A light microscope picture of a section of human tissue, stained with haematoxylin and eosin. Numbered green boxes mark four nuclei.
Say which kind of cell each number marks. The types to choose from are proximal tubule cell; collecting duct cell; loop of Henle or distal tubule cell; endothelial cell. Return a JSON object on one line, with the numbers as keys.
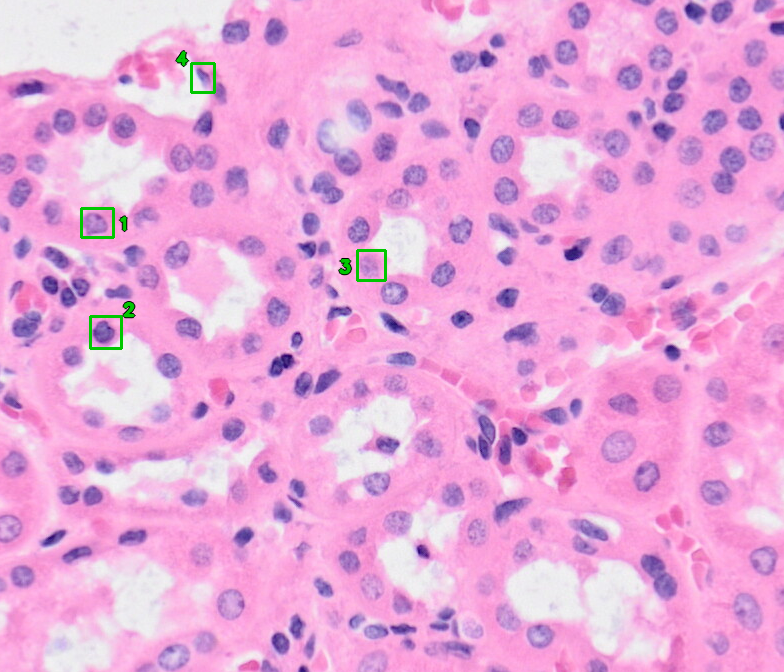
{"1": "loop of Henle or distal tubule cell", "2": "loop of Henle or distal tubule cell", "3": "loop of Henle or distal tubule cell", "4": "endothelial cell"}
